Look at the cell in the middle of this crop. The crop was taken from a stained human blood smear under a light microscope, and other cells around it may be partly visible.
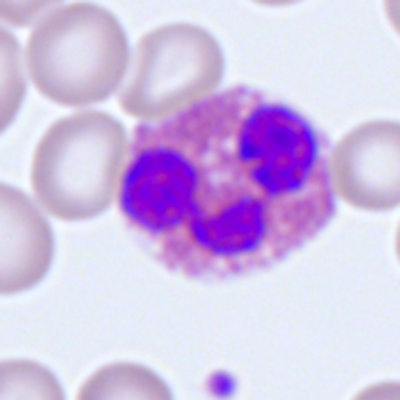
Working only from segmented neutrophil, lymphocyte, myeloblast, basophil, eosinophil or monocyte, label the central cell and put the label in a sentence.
The cell found in the middle of this crop is an eosinophil.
